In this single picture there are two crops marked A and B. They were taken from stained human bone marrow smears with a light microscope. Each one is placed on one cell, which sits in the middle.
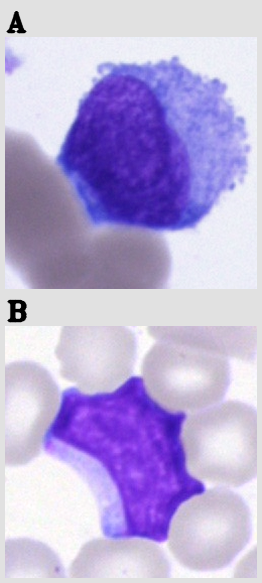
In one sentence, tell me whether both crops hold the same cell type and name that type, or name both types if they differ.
Yes, both crops show blasts, to put it briefly.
